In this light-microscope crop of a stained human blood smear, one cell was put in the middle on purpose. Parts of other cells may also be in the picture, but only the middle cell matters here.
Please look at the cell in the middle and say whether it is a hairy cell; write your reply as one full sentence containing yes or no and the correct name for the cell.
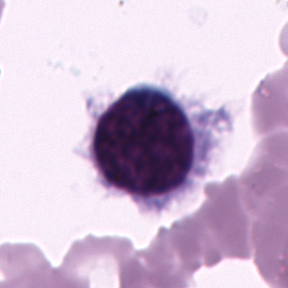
Yes, the cell at the middle of the field is to be classed as a hairy cell.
